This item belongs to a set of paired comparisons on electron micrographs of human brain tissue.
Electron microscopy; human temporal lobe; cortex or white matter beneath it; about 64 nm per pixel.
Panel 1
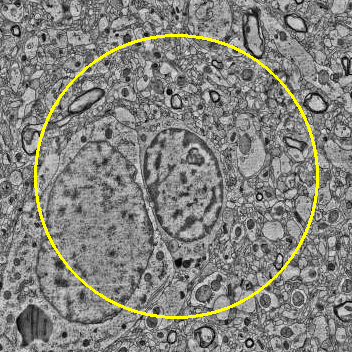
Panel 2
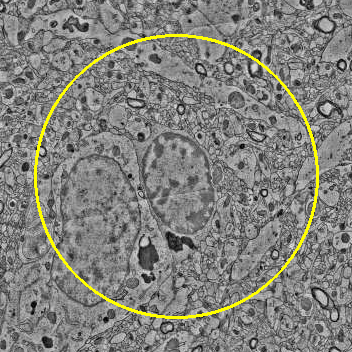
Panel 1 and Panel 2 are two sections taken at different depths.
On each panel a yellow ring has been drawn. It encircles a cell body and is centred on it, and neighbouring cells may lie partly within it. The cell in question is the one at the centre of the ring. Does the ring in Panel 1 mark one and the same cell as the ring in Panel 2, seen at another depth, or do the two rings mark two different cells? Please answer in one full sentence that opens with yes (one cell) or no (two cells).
Yes, a single cell lies behind both yellow marks.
